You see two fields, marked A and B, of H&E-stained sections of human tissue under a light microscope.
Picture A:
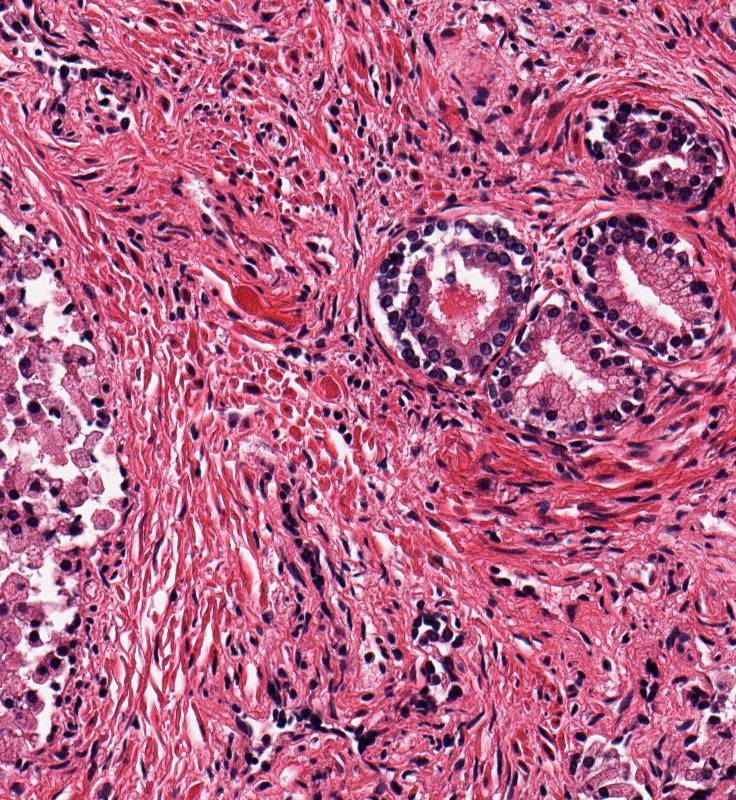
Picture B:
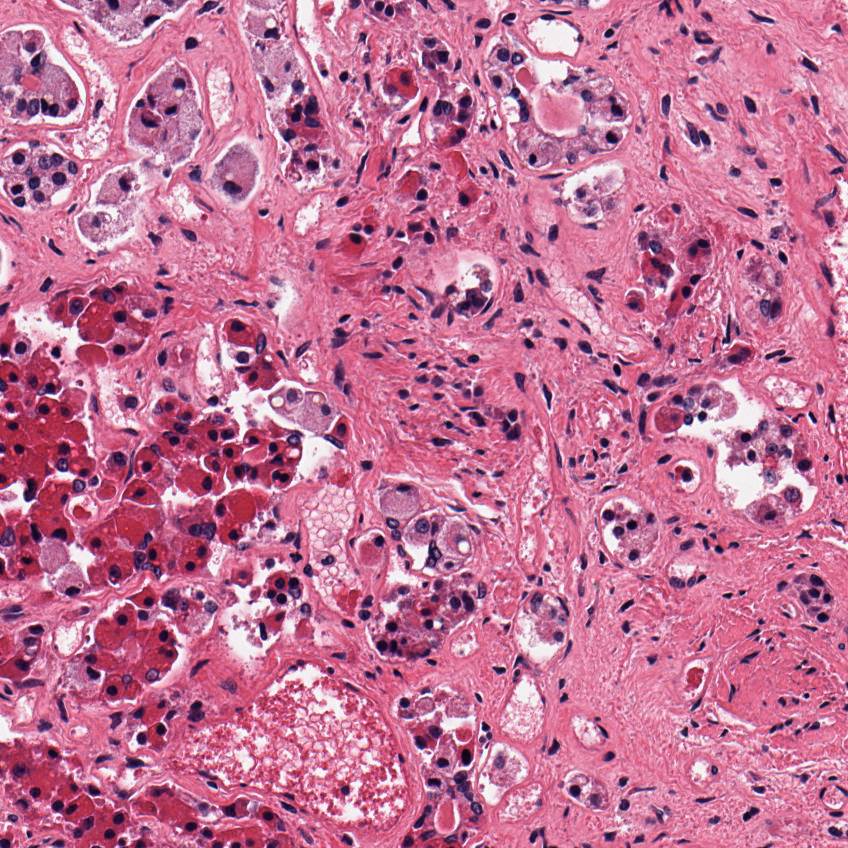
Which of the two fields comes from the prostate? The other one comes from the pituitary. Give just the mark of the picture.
A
